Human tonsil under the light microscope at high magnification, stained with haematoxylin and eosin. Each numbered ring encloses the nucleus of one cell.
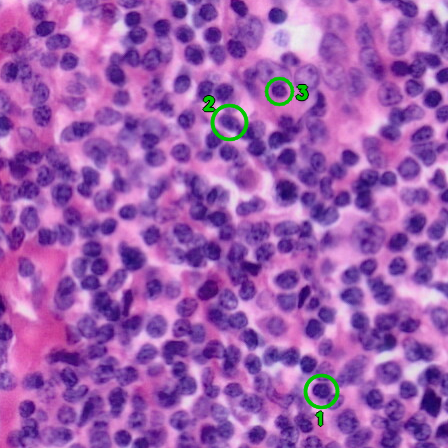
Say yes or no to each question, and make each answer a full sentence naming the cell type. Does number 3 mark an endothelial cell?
Yes, the cell that number 3 points to is an endothelial cell.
